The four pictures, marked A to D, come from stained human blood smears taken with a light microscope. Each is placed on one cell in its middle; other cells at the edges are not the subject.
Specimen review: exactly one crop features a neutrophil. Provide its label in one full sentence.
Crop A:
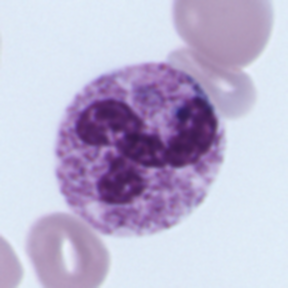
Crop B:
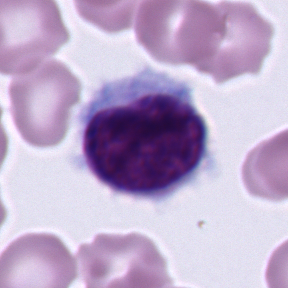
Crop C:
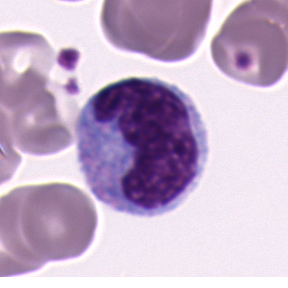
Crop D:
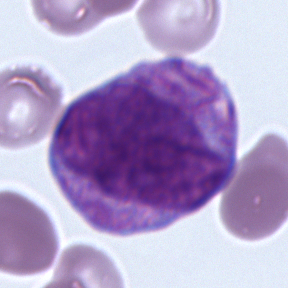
Here the crop that shows a neutrophil is crop A.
